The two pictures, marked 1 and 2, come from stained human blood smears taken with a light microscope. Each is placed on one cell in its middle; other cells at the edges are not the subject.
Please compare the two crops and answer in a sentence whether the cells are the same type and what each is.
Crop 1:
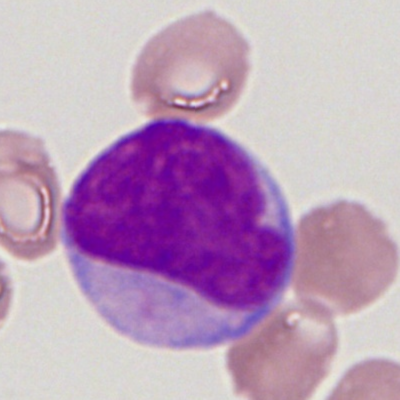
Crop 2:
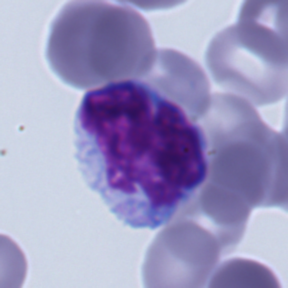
No, it is a blast in crop 1 and a lymphocyte in crop 2.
